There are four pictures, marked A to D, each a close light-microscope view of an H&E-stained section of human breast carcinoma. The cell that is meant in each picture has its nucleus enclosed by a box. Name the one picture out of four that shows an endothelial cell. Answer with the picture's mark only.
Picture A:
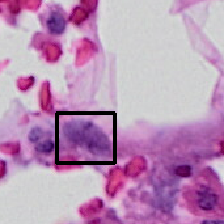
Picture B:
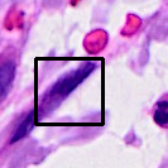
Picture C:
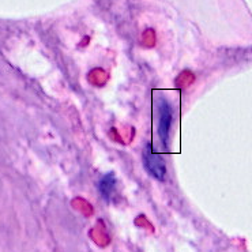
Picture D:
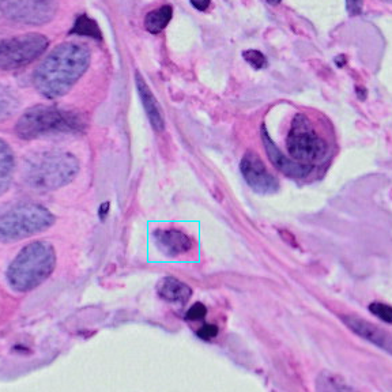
A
